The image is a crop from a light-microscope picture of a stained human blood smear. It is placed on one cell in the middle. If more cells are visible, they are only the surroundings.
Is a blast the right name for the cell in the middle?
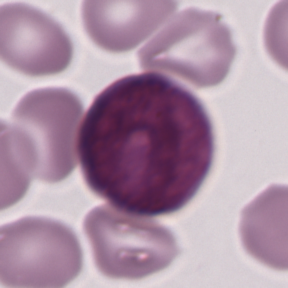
yes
